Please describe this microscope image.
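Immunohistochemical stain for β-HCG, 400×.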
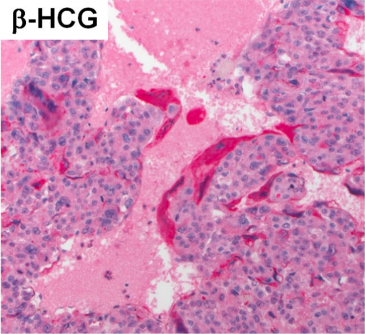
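This section shows nests of large polygonal tumor cells separated by spaces containing pink proteinaceous material. The tumor cells have enlarged, round nuclei and pale cytoplasm, and most of them are unstained.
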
